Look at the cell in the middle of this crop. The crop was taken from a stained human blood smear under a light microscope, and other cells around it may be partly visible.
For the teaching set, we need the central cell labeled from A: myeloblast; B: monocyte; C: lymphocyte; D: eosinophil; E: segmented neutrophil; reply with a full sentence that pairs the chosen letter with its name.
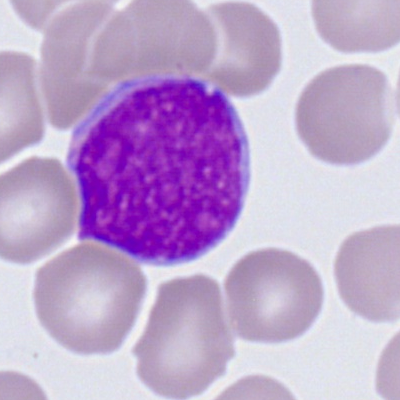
Since the cell in the middle is a myeloblast, option A is correct.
